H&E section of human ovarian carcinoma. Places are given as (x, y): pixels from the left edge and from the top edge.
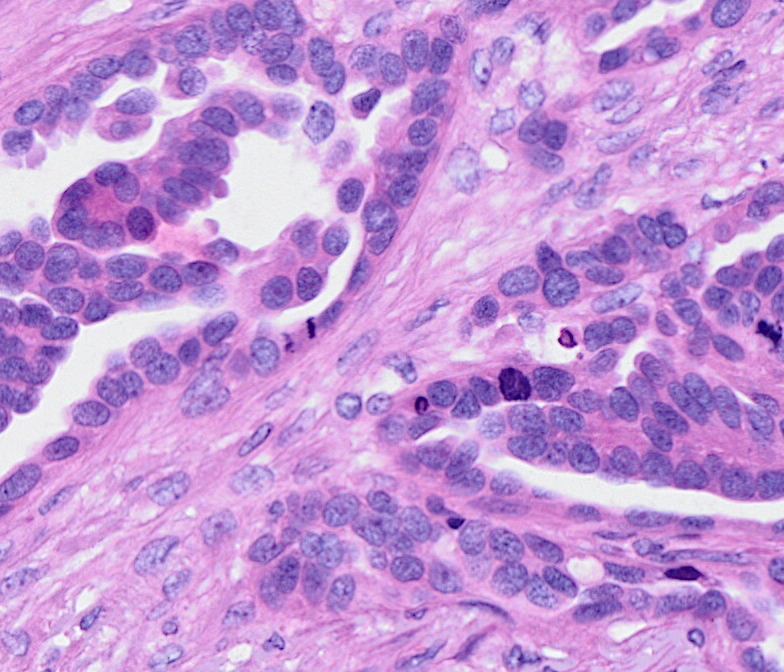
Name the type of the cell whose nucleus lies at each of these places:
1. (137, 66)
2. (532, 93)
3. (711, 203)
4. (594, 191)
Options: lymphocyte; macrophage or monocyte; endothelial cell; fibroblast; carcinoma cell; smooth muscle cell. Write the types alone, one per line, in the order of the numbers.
carcinoma cell
fibroblast
fibroblast
fibroblast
